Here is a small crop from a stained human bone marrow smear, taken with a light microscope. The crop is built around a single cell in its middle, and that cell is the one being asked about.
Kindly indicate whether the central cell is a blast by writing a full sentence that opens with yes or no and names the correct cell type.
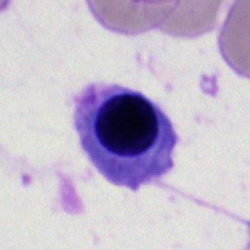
No, in this crop the central cell is a normoblast instead of a blast.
